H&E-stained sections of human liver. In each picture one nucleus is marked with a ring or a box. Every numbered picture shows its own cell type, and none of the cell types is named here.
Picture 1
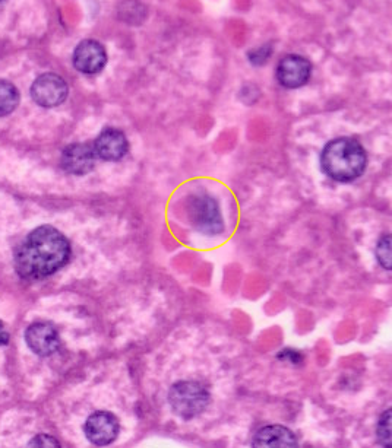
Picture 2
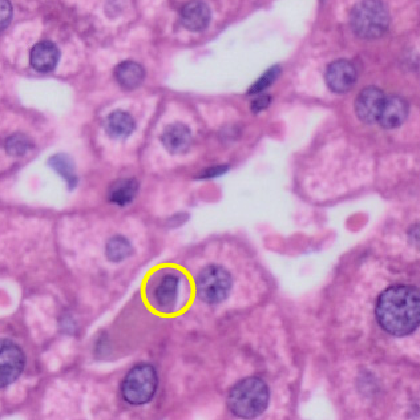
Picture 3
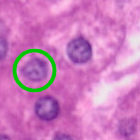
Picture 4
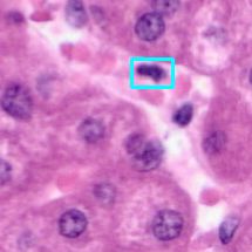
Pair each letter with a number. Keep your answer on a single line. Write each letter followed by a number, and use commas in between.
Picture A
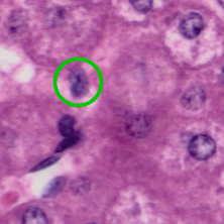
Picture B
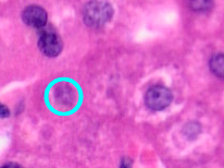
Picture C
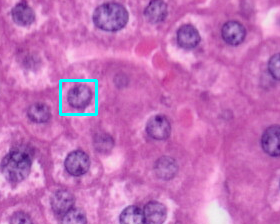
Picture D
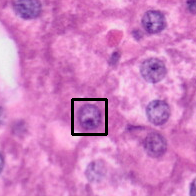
A 1, B 3, C 3, D 3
